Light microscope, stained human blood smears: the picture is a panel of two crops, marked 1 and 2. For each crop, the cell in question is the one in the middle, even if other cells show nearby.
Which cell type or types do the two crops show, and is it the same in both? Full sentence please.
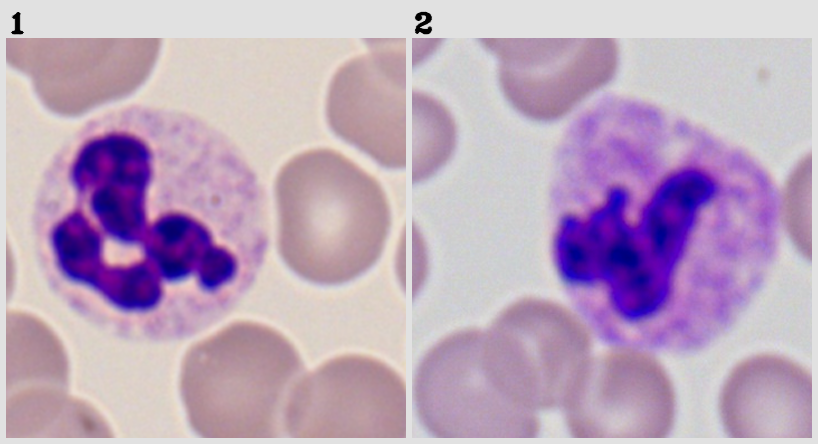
Yes, in both crops, neutrophils are the cells at the middle.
